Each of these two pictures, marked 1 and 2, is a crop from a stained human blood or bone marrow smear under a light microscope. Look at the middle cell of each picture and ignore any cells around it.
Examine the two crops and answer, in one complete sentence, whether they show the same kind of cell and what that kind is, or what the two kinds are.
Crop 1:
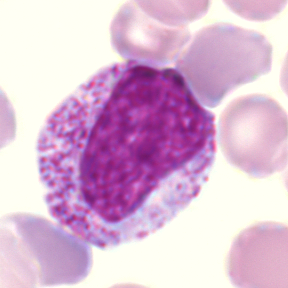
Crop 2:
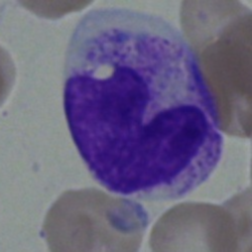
No, crop 1 has a myelocyte in the middle, and crop 2 has a metamyelocyte.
